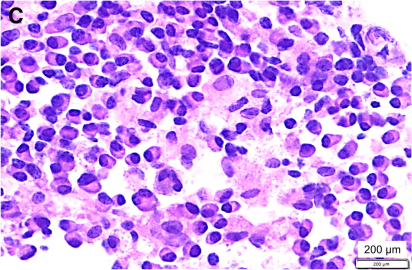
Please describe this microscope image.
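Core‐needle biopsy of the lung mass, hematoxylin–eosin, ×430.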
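The cells are round to oval and lie close together without forming glands or other organised structures. Each has a round, dark purple nucleus that is often set off to one side of the cell. A moderate rim of pink to purplish cytoplasm surrounds the nuclei. Between the cells there is a pale pink, finely granular background.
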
